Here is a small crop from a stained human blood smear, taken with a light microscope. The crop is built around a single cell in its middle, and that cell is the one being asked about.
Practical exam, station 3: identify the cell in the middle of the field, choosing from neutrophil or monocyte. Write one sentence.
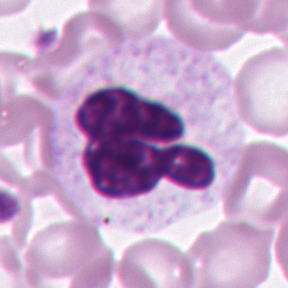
Located at the centre of the crop is a neutrophil.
